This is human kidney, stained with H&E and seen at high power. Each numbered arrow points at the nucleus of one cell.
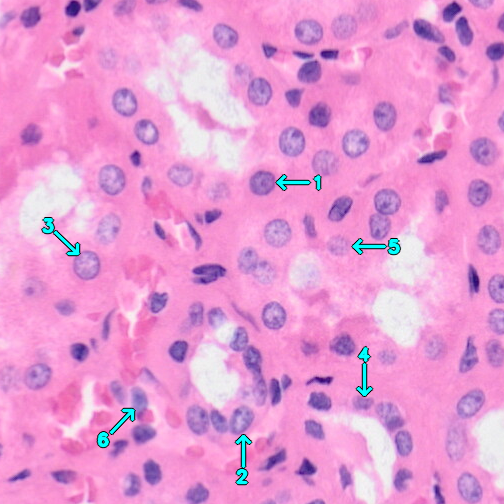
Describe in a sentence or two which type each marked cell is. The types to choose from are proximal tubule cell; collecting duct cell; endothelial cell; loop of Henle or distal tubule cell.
Cells 1, 3 and 5 are proximal tubule cells. Cell 2 is a collecting duct cell. Cell 4 is a loop of Henle or distal tubule cell. Cell 6 is an endothelial cell.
